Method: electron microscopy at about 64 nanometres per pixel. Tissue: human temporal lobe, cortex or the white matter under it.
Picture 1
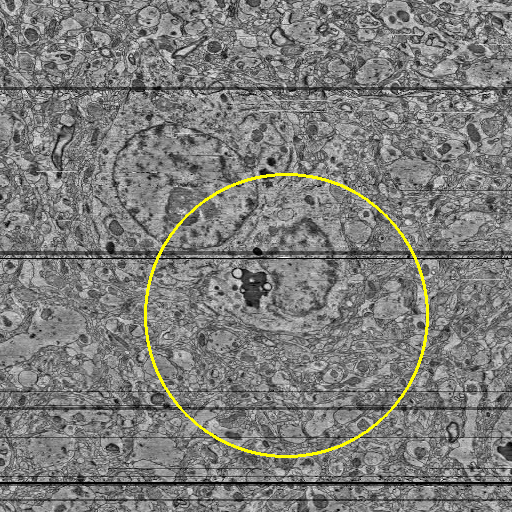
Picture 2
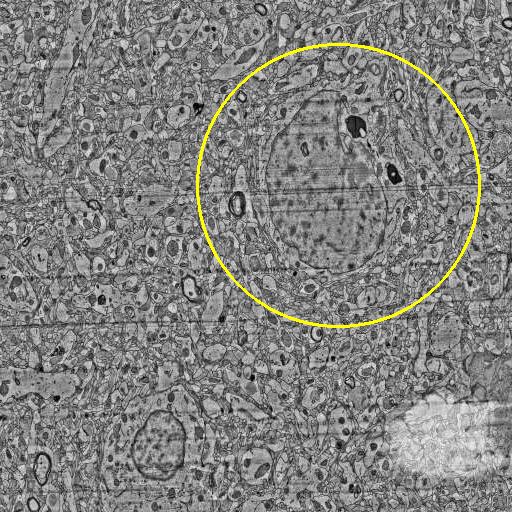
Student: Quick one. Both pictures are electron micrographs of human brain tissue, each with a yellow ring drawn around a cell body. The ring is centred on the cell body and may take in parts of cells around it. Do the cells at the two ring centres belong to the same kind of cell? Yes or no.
yes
